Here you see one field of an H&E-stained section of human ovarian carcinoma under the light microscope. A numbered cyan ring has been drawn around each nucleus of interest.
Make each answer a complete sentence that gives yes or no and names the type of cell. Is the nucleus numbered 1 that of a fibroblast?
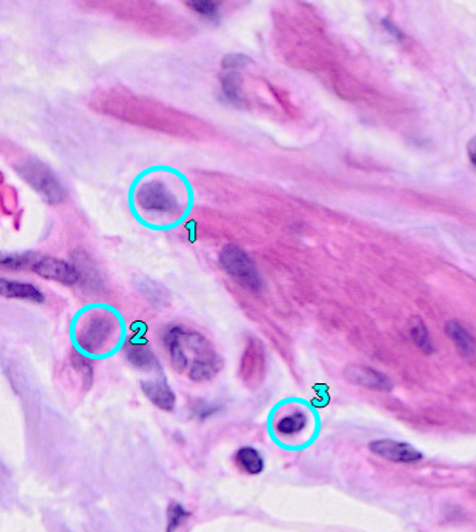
Yes, on this slide, the cell with number 1 is a fibroblast.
